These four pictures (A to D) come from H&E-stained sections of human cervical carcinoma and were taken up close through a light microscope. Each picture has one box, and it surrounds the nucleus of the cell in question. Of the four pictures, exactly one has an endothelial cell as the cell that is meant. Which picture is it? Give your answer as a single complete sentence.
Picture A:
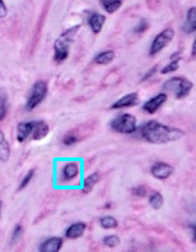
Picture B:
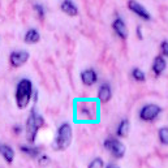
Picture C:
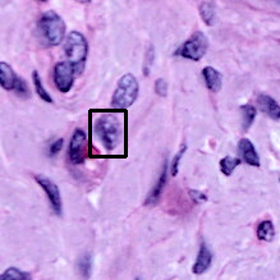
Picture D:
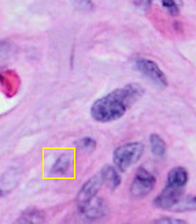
Picture C shows the endothelial cell.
